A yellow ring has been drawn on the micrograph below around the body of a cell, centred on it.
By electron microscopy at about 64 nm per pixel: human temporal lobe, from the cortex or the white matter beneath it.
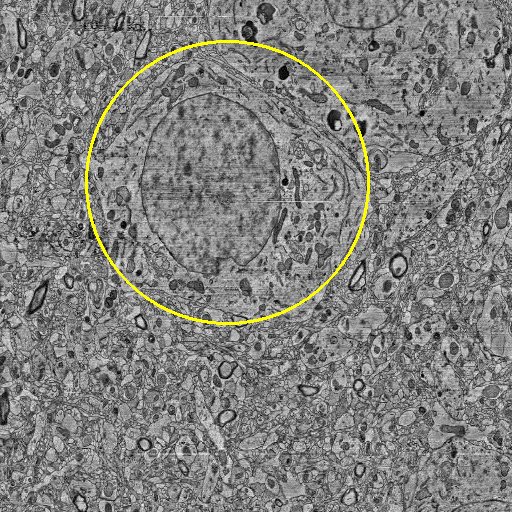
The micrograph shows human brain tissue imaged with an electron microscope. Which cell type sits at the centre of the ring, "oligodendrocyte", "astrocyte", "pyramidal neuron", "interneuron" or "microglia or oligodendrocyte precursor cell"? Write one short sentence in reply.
The cell sitting at the centre of the ring is an interneuron.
